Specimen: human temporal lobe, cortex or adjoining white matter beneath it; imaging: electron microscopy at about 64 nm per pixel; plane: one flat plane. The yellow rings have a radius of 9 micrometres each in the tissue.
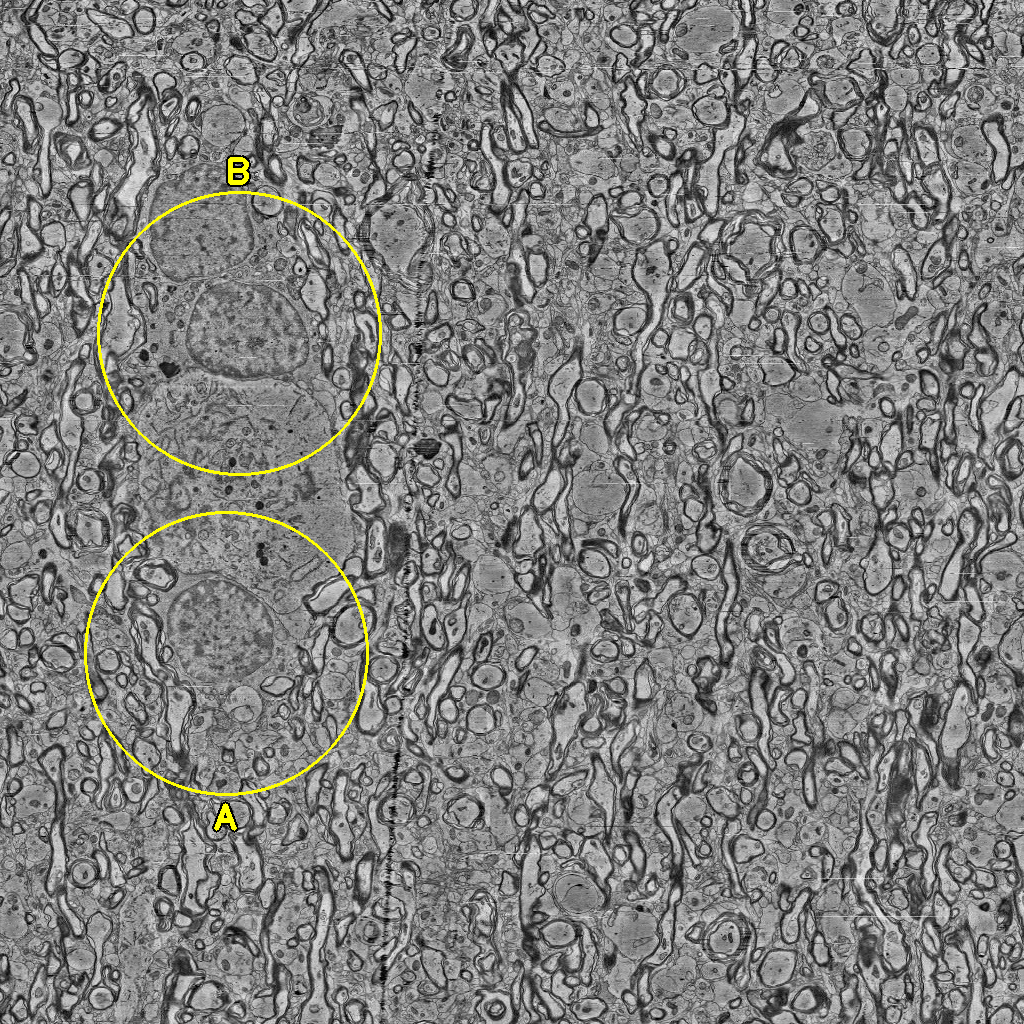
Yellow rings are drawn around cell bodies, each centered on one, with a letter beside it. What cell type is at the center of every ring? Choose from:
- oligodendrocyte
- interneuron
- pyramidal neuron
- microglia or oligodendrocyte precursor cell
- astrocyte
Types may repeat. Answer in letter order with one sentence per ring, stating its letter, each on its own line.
The cell at the center of ring A is an oligodendrocyte.
The cell at the center of ring B is an oligodendrocyte.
